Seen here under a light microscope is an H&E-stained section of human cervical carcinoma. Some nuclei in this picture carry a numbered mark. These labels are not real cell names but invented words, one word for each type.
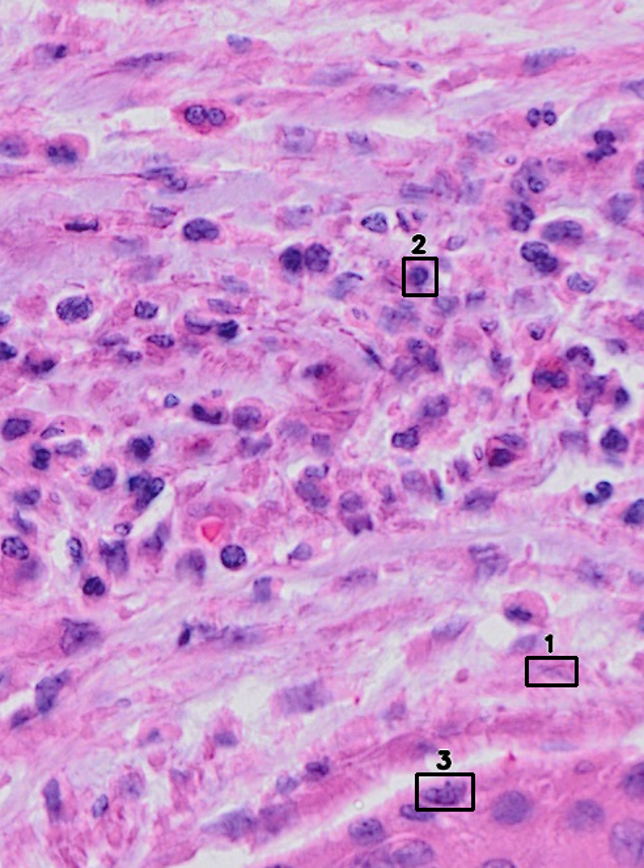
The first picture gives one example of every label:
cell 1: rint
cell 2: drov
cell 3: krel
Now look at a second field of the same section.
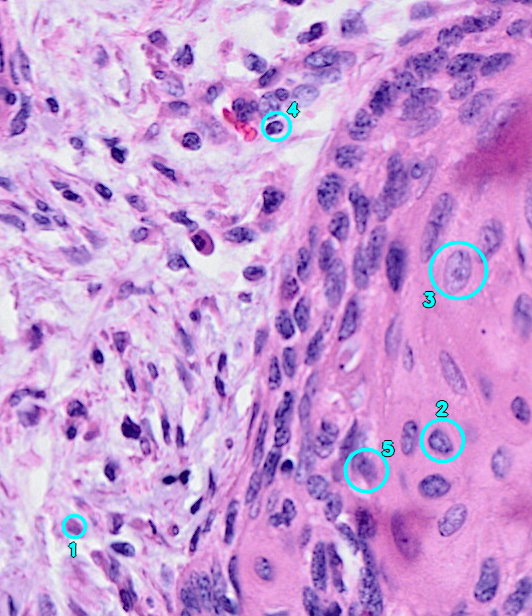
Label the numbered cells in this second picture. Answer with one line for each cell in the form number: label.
1: rint
2: krel
3: krel
4: drov
5: krel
